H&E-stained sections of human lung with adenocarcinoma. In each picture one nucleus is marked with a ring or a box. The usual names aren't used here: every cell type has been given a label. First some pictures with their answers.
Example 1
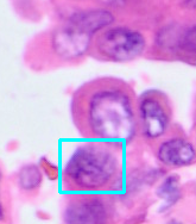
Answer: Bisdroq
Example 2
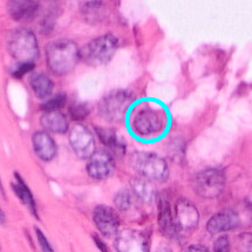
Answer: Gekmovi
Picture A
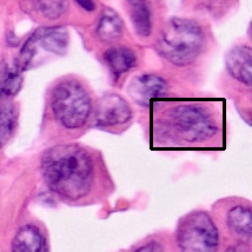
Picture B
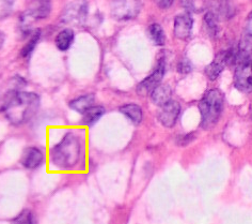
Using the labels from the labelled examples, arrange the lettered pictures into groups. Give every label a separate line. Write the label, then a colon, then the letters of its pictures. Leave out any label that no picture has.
Bisdroq: A
Gekmovi: B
